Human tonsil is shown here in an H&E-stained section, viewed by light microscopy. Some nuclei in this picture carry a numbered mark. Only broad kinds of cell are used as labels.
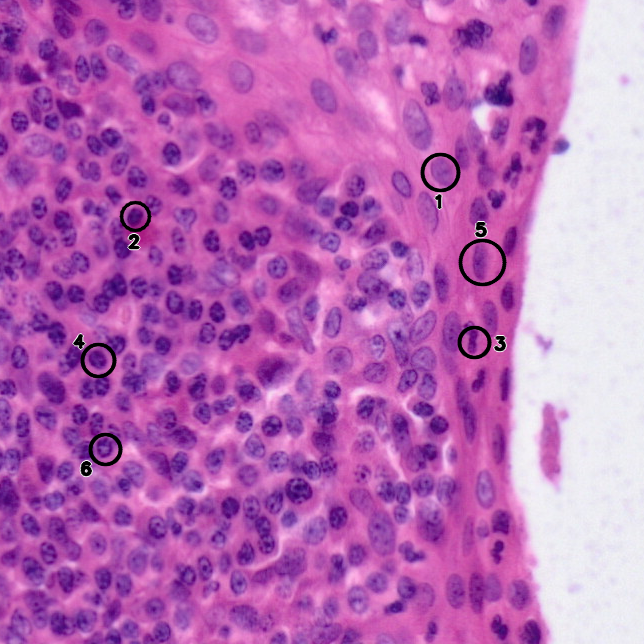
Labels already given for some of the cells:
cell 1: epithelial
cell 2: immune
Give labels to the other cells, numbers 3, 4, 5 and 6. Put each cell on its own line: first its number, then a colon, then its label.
3: epithelial
4: immune
5: epithelial
6: immune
